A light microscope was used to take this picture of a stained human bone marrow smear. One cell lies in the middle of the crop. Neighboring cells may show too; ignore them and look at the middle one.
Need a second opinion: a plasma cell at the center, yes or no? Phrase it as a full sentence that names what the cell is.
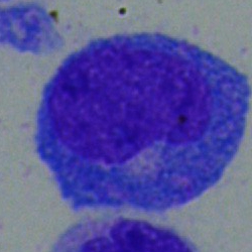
No, the centrally located cell is a promyelocyte rather than a plasma cell.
